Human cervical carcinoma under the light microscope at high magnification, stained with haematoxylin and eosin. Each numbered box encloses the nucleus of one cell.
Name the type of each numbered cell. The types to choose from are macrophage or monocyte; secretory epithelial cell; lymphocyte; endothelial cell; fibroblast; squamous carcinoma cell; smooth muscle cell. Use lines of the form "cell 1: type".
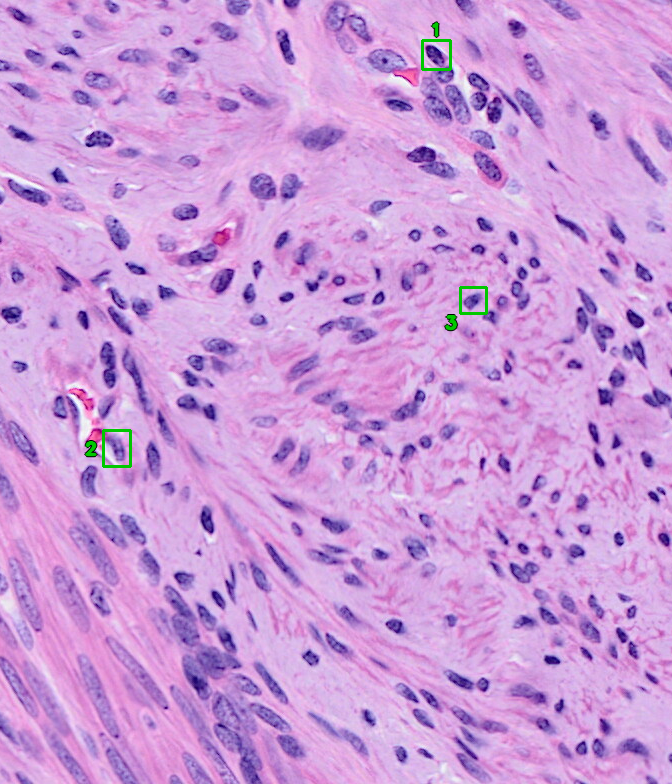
cell 1: lymphocyte
cell 2: endothelial cell
cell 3: smooth muscle cell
